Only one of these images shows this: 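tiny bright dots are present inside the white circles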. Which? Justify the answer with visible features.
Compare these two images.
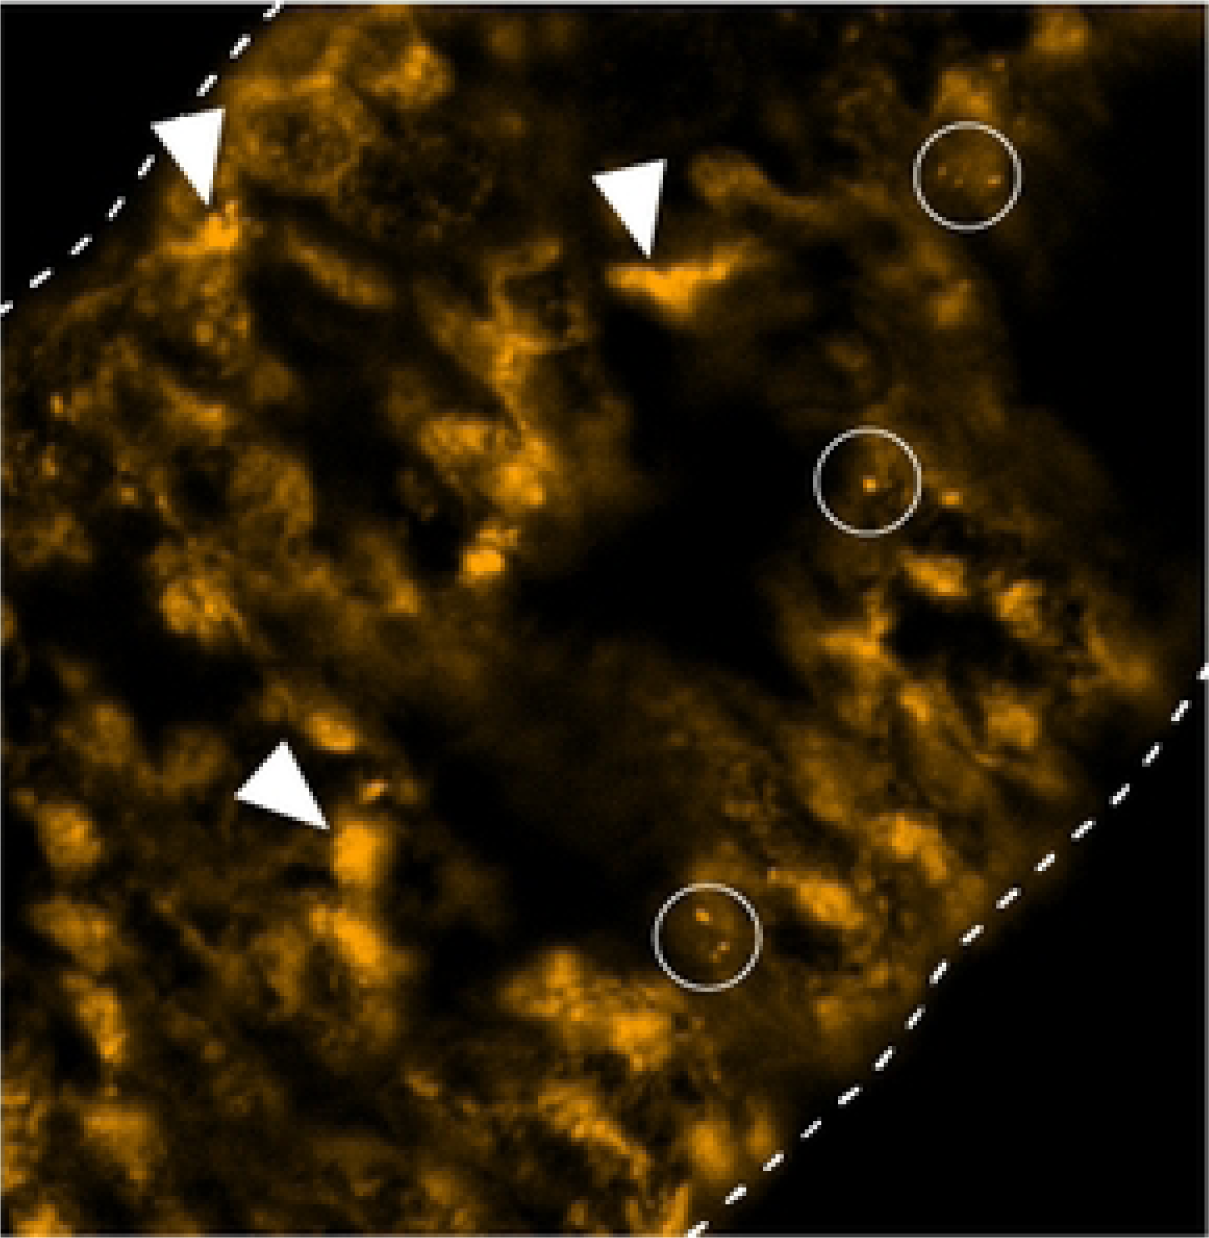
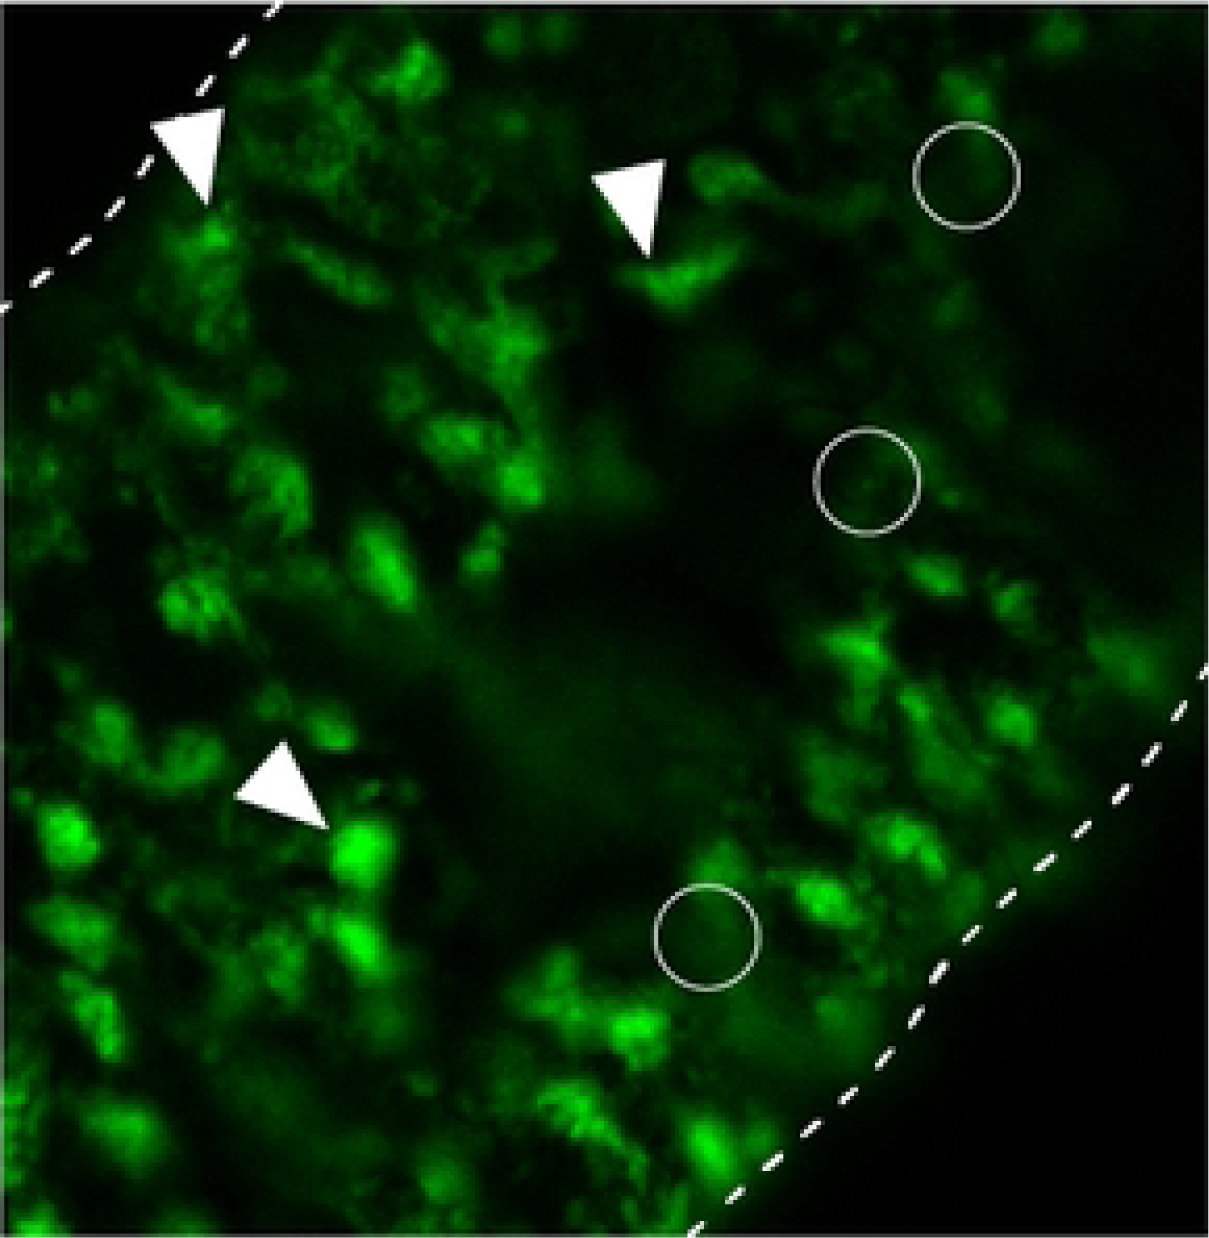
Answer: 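Second image: the white circles enclose only faint diffuse green with no distinct dots. First image: each white circle holds one to three small bright orange dots. So: the first image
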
